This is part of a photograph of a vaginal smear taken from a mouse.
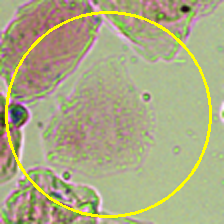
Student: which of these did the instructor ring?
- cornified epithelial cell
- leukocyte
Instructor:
The cell I ringed is a cornified epithelial cell.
